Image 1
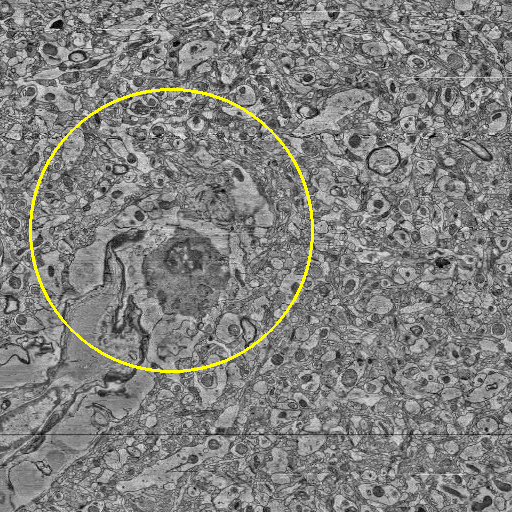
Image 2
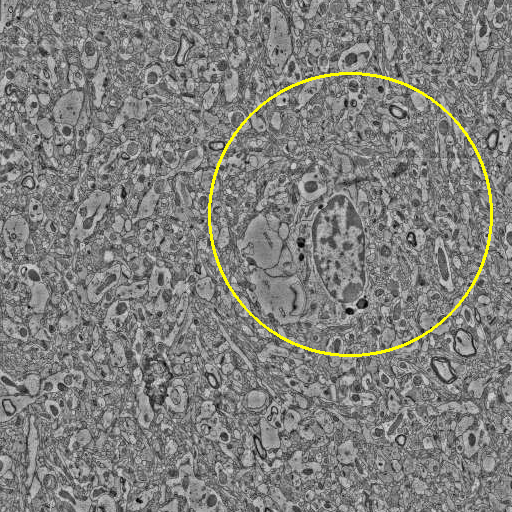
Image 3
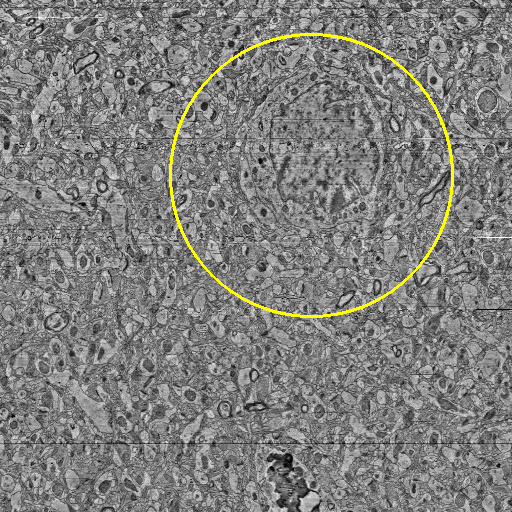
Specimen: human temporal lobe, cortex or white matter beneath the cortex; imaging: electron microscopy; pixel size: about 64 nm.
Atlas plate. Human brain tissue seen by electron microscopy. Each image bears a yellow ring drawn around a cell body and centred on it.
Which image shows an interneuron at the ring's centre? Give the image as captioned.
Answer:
Image 3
